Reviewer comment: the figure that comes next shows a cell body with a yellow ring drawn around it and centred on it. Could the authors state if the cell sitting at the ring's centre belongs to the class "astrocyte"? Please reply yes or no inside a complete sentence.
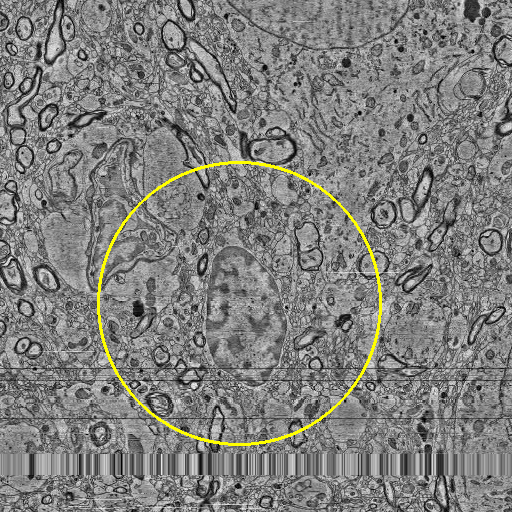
No, in the figure, the cell at the ring's centre belongs to a different class.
